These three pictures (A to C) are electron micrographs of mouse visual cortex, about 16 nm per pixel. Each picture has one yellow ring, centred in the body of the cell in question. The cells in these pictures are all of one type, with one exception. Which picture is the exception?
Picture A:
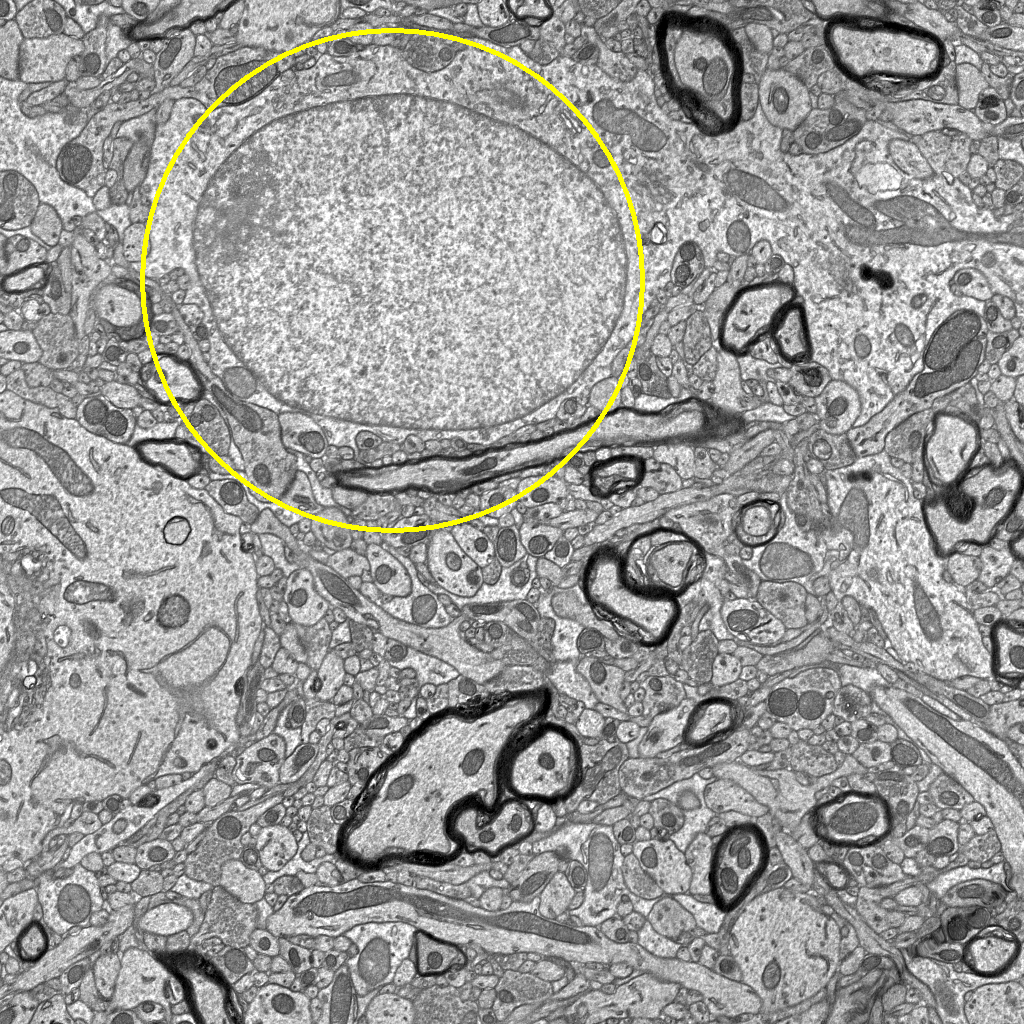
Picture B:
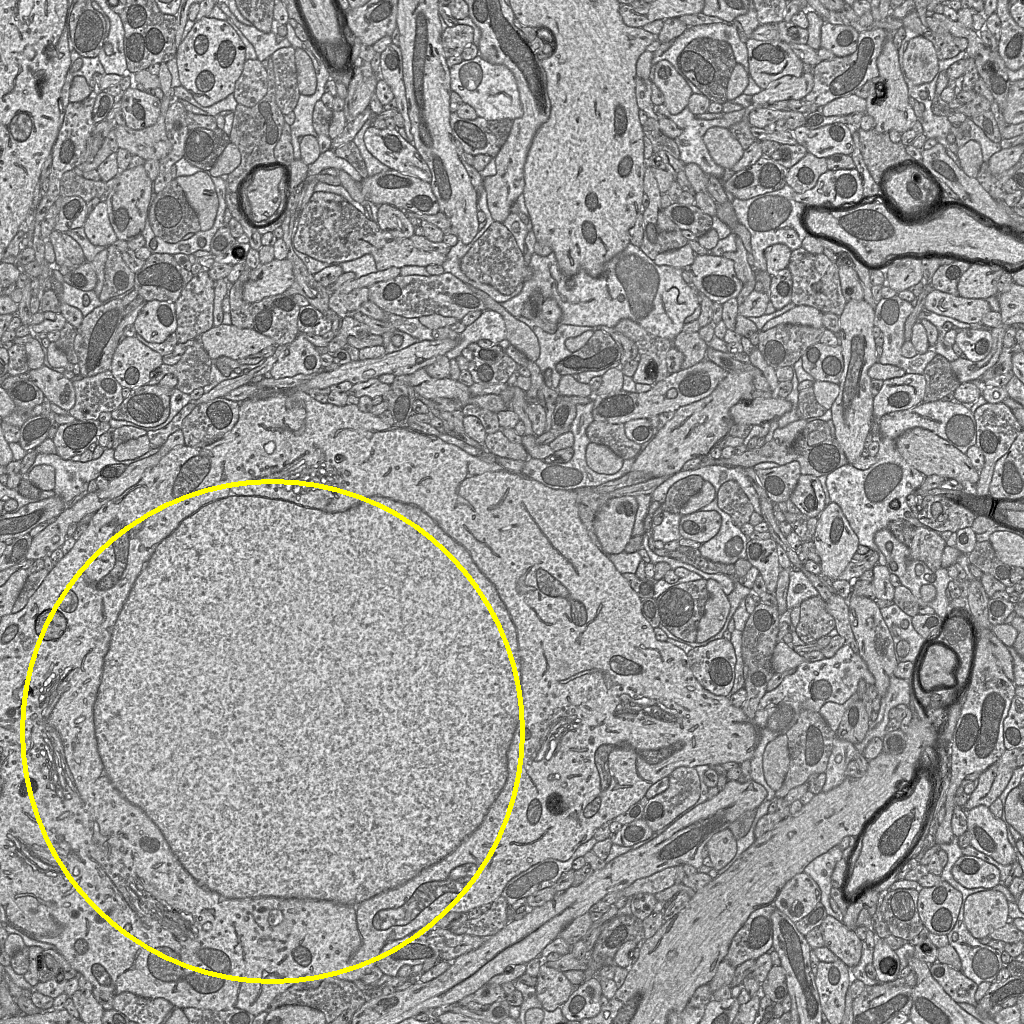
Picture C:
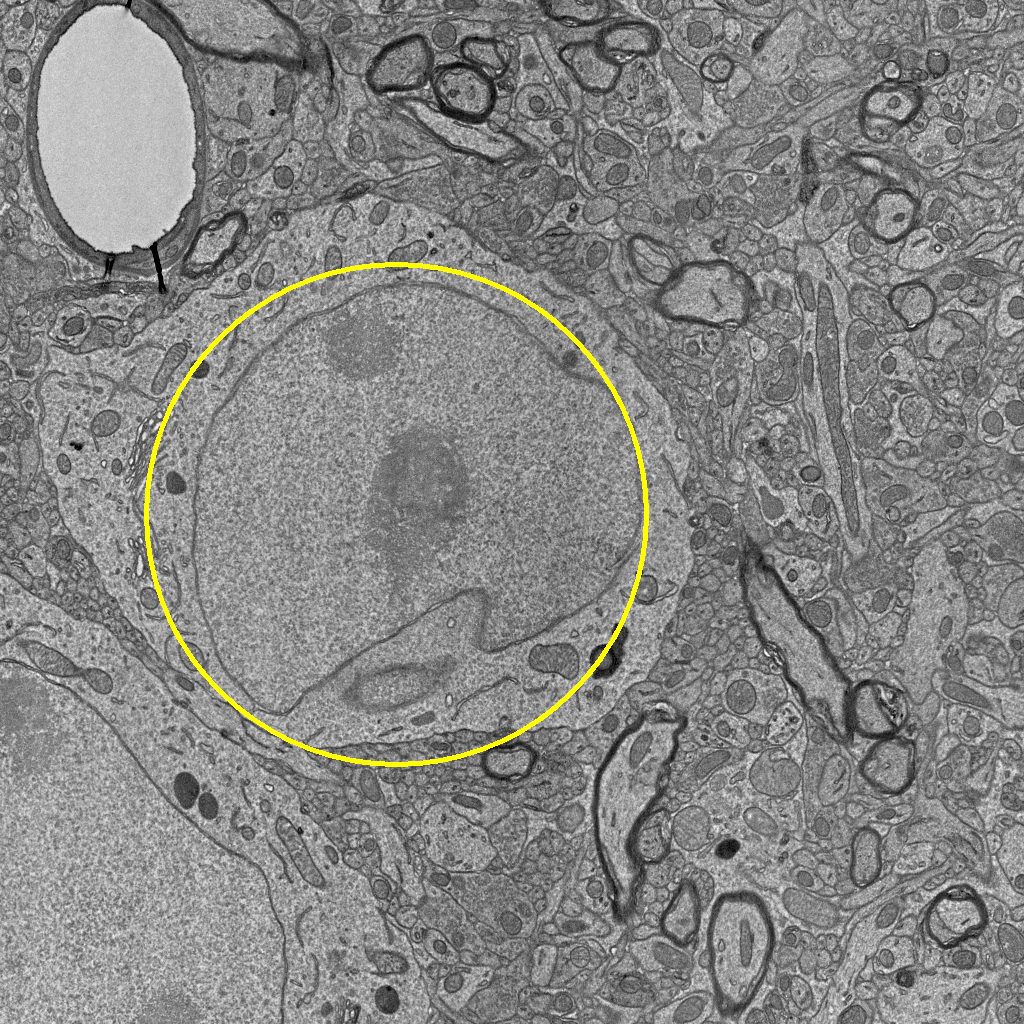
Picture A is the odd one out: it shows an astrocyte, while the others show excitatory neurons.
